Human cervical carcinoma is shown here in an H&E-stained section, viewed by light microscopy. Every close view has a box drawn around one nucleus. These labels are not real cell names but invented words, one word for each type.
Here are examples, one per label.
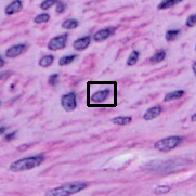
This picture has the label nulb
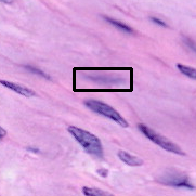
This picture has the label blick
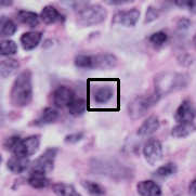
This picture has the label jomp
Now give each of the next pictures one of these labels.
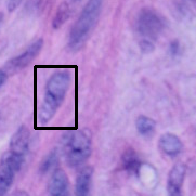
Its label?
nulb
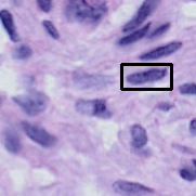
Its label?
blick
